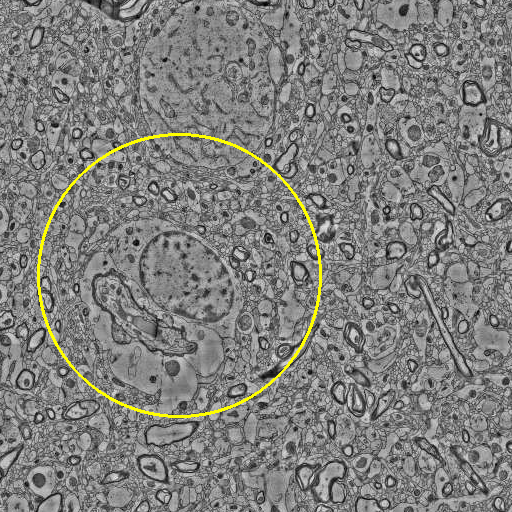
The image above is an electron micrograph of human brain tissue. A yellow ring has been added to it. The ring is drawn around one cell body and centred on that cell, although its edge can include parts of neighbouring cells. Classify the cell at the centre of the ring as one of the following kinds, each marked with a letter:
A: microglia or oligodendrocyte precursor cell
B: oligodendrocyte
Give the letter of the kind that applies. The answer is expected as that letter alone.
A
